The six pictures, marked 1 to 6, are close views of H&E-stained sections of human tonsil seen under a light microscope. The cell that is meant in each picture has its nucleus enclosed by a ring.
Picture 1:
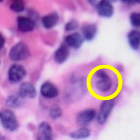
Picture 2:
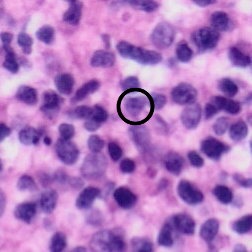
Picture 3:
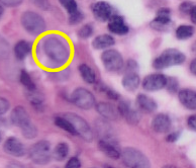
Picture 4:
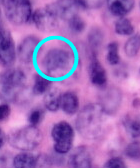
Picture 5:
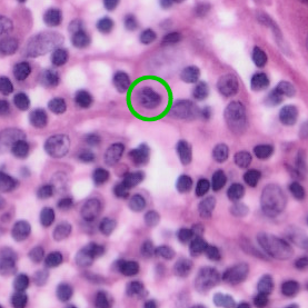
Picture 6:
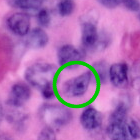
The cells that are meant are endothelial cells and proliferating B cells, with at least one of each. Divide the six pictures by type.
1: endothelial cell
2: proliferating B cell
3: endothelial cell
4: proliferating B cell
5: endothelial cell
6: proliferating B cell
